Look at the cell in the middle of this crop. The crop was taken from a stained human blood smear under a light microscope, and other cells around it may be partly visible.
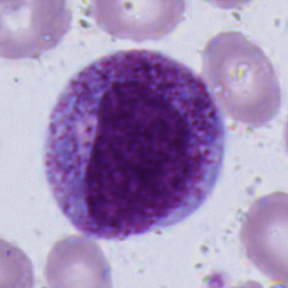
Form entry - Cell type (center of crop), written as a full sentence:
Centred in the crop is a promyelocyte.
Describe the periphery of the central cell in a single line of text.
You can see a smooth boundary, with no projections sticking out.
